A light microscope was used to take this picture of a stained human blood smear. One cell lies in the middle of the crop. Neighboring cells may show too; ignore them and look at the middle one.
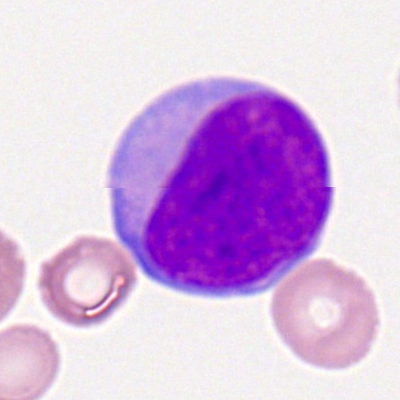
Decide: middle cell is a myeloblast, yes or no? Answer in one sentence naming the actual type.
Yes, that middle cell in the crop is a myeloblast.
